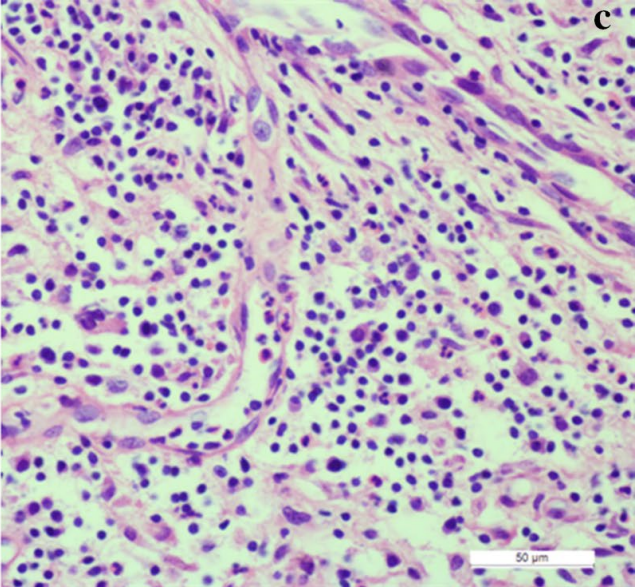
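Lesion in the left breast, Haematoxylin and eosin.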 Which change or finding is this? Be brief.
inflammatory pseudotumor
